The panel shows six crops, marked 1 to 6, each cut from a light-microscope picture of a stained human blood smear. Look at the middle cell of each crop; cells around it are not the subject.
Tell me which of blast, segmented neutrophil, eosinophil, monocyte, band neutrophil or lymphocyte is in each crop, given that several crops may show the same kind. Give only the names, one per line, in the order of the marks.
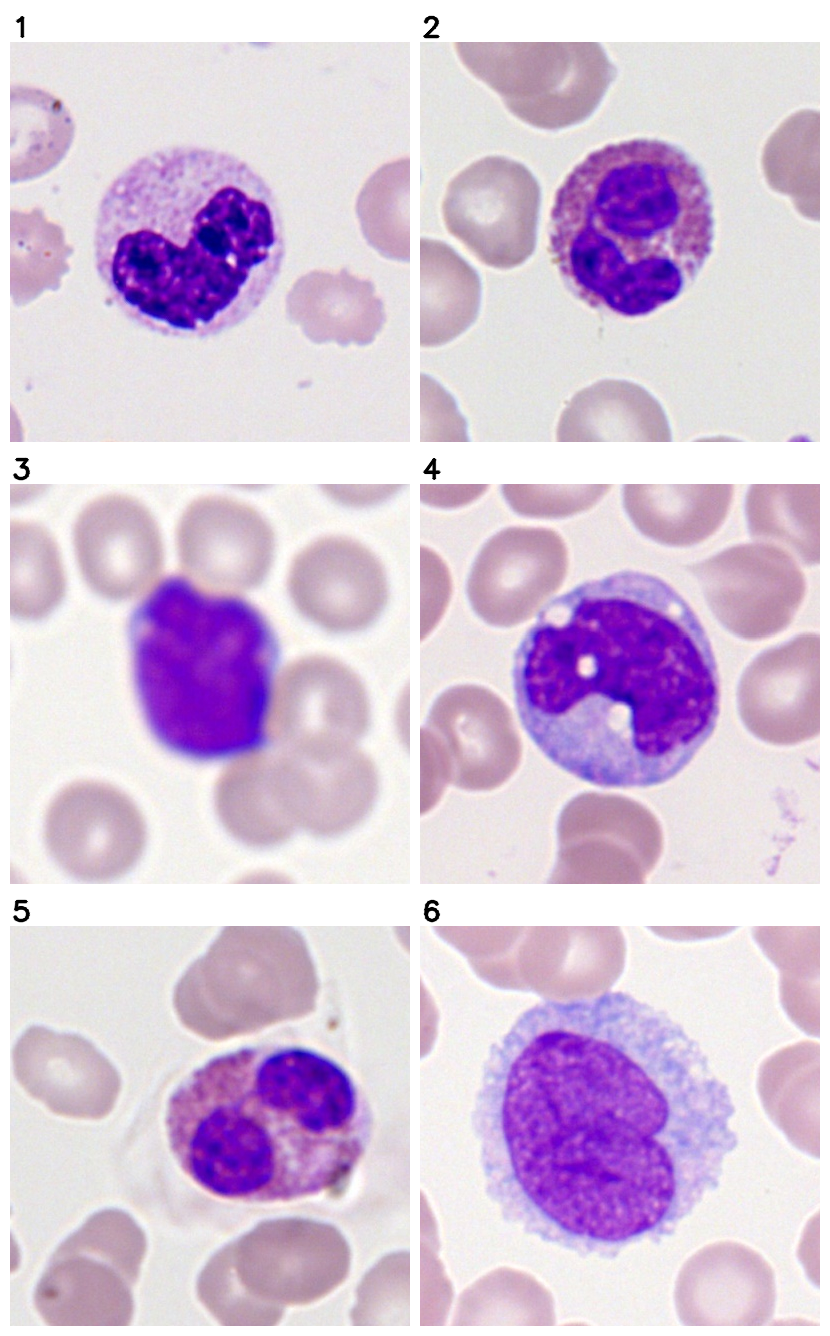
band neutrophil
eosinophil
blast
monocyte
eosinophil
monocyte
